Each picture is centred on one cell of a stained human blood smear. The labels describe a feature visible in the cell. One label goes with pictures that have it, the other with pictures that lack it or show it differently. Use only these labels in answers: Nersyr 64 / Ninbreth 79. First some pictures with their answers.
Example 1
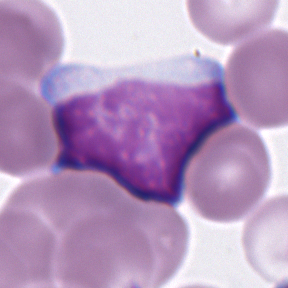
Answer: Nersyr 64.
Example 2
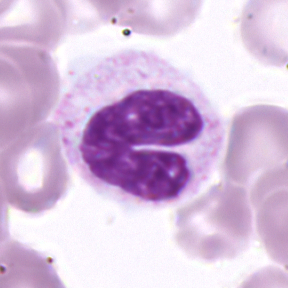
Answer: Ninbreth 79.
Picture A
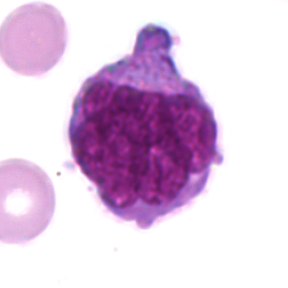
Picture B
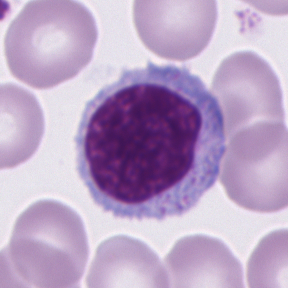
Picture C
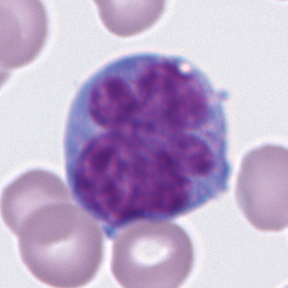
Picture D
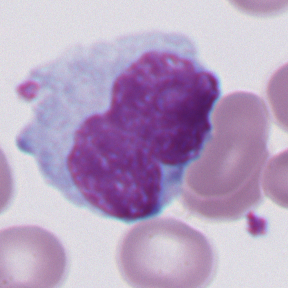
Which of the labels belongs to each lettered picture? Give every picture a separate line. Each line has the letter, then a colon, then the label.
A: Ninbreth 79.
B: Nersyr 64.
C: Ninbreth 79.
D: Ninbreth 79.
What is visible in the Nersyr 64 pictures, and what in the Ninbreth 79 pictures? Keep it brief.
In Nersyr 64: single compact nucleus. In Ninbreth 79: lobed nucleus.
